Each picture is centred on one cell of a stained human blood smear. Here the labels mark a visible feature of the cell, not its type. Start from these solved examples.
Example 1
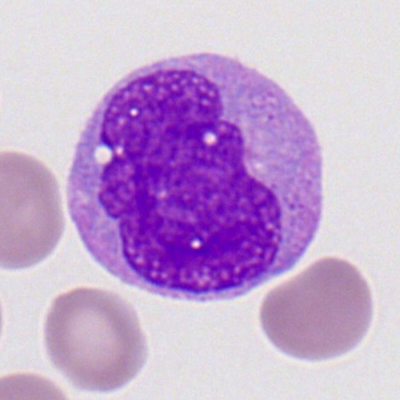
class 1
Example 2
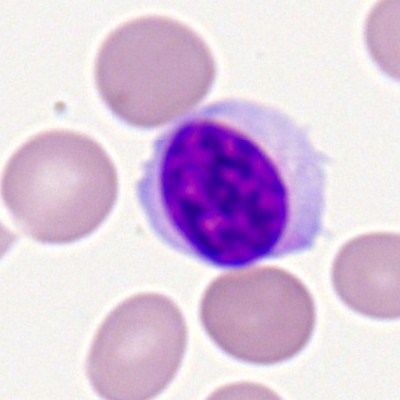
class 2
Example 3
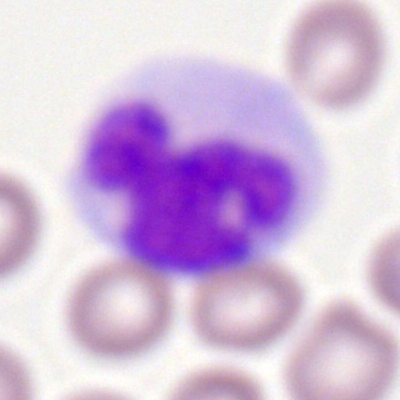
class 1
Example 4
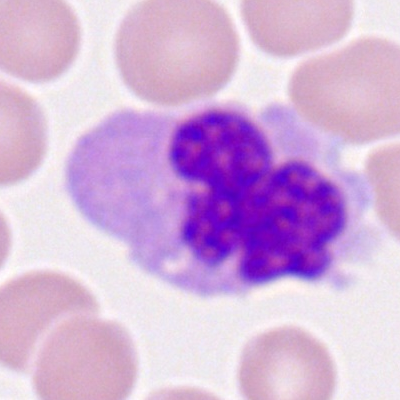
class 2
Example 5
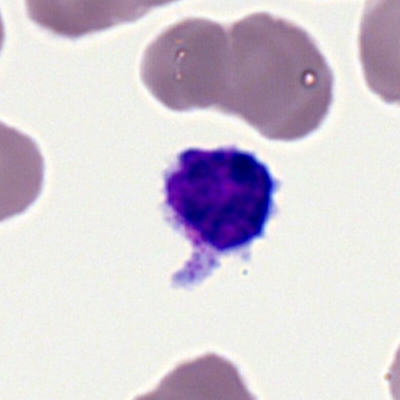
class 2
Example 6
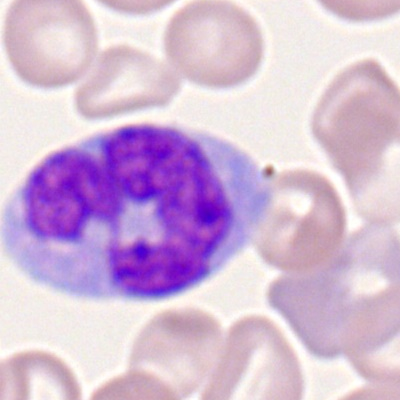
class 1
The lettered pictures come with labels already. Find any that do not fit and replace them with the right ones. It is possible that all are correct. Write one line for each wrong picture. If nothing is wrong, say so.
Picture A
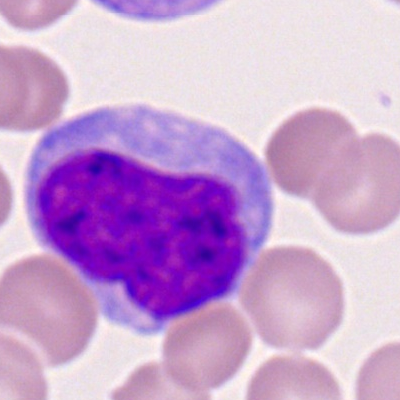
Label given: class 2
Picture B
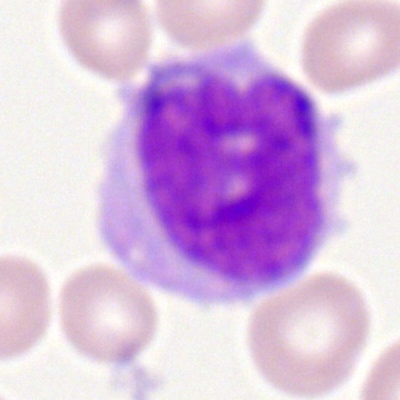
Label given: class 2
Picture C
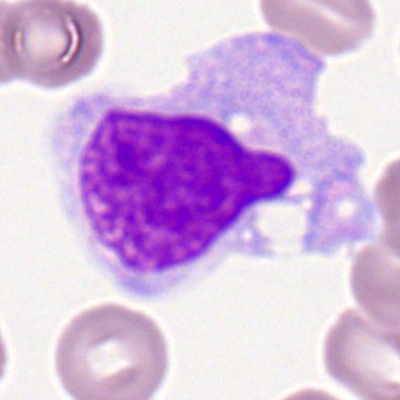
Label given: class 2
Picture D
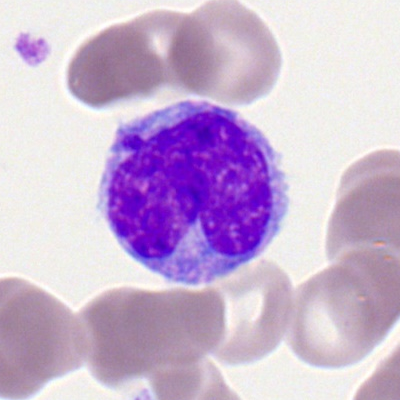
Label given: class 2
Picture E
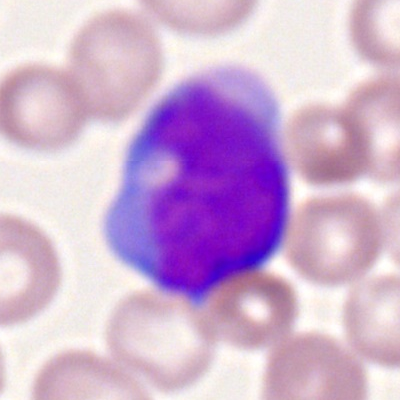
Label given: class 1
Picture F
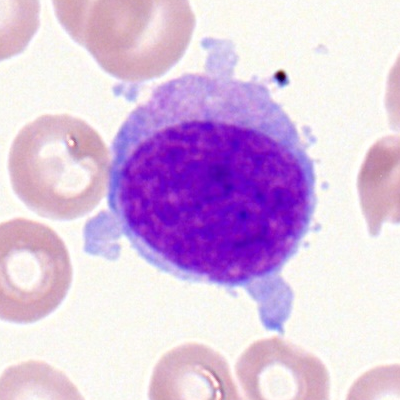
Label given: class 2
A should be class 1, not class 2
E should be class 2, not class 1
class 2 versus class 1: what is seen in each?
class 2: ragged outline or projections; class 1: smooth outline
